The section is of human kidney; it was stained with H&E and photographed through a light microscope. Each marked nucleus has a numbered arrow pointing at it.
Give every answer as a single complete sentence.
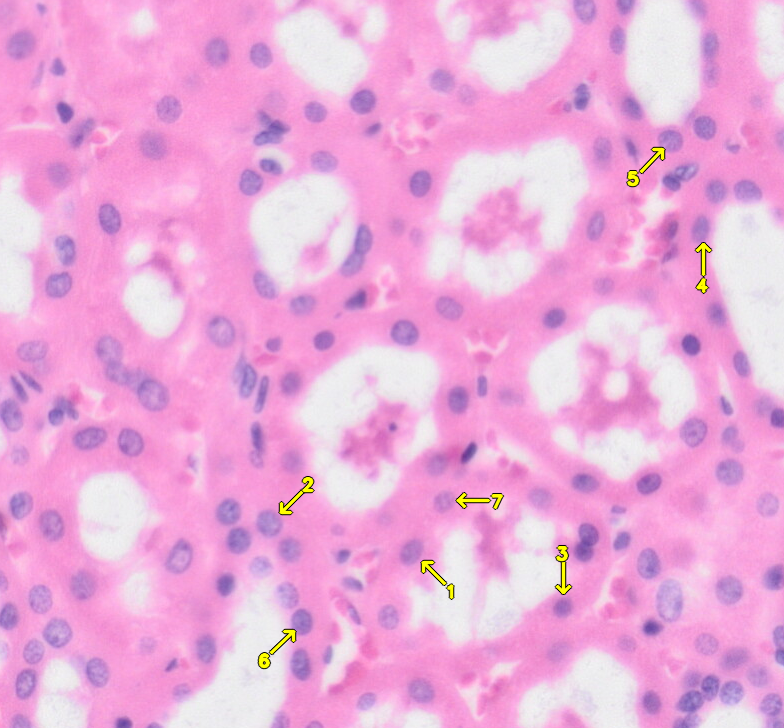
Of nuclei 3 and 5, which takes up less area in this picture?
It is nucleus 3; nucleus 5 has about 1.5 times its area.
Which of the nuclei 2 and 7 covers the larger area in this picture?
Number 2 is larger; its area is about 1.5 times that of number 7.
